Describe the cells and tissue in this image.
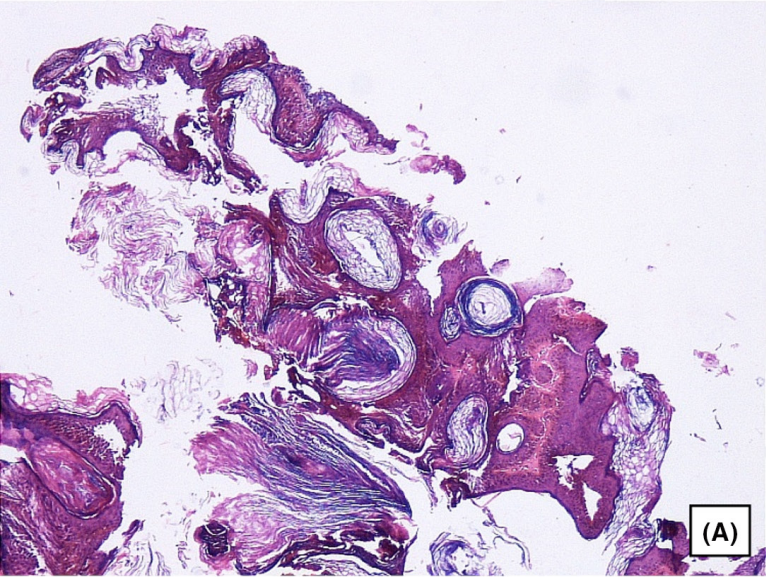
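Low-power view of thickened epidermis with abundant keratin and multiple keratin-filled cysts. Loose, layered keratin lies over the surface and in fragments at the edges. Within the purple-staining epithelium sit several round spaces filled with concentric laminated keratin. Some of these spaces appear enclosed within the epithelium while others open toward the surface.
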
